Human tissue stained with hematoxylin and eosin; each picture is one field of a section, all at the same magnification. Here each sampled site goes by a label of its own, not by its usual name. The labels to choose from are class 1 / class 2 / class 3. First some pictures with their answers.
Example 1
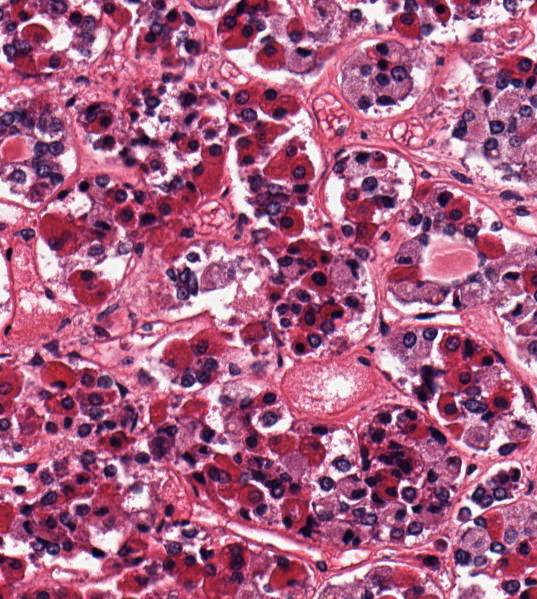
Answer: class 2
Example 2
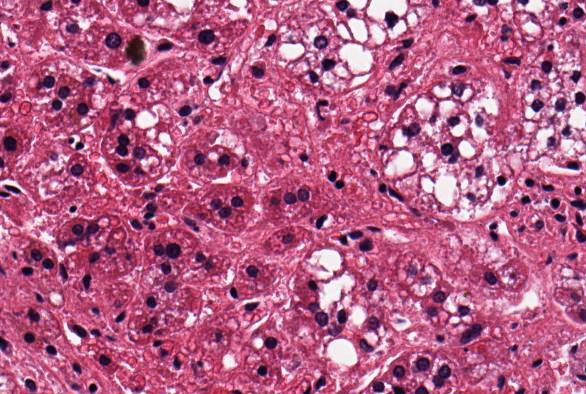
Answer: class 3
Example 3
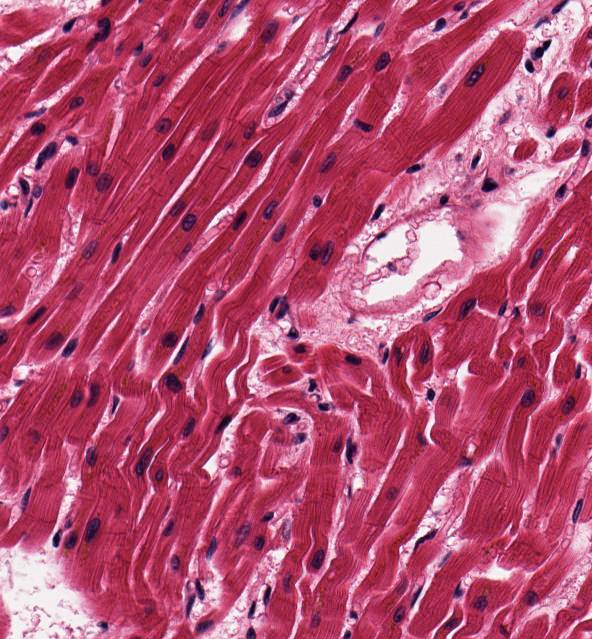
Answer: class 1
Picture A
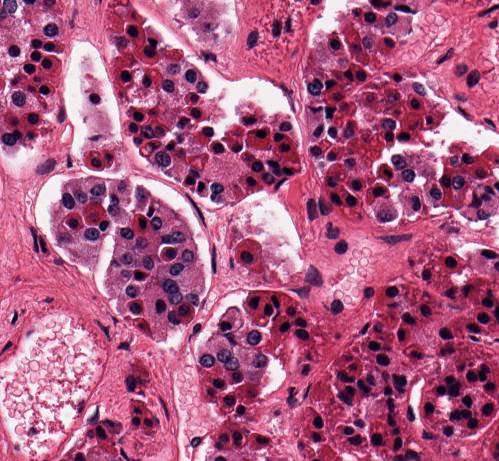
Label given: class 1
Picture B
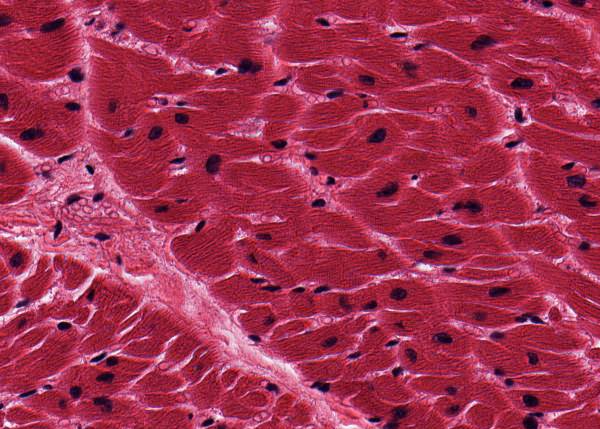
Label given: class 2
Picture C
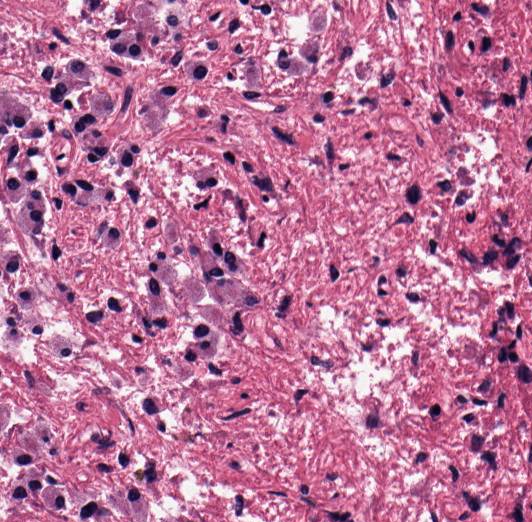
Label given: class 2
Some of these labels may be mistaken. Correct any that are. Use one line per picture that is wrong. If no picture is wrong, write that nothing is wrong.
A: change class 1 to class 2
B: change class 2 to class 1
